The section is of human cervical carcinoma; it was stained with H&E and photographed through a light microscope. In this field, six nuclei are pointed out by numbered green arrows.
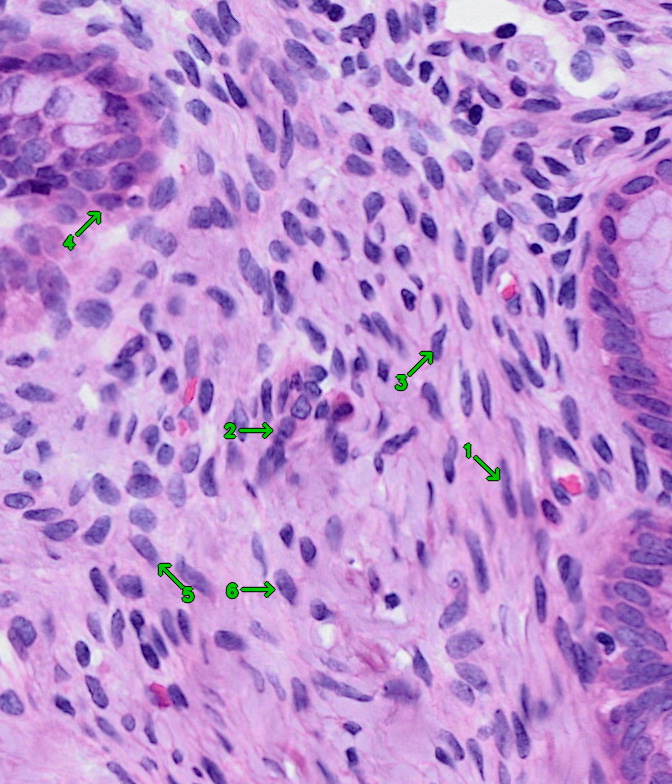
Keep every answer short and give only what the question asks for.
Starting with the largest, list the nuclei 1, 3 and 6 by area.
1, 6, 3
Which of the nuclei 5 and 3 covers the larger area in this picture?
5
